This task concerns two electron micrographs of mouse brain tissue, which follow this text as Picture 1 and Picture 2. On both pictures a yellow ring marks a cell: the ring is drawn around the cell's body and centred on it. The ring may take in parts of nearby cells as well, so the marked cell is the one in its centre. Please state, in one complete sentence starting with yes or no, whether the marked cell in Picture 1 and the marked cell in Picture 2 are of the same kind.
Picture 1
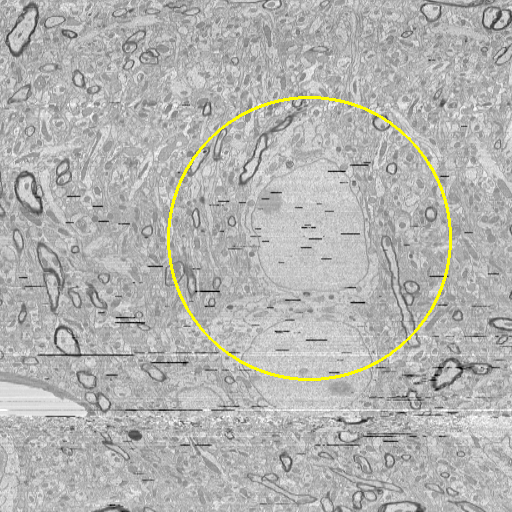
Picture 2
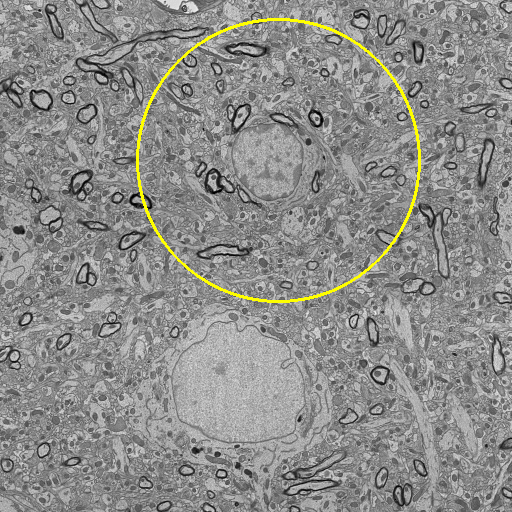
No, the marked cells in the two pictures are of two kinds.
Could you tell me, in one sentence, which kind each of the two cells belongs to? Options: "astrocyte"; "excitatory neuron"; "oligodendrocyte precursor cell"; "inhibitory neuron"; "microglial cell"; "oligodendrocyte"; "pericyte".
At the centre of the first ring sits an excitatory neuron, and at the centre of the second sits an oligodendrocyte.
